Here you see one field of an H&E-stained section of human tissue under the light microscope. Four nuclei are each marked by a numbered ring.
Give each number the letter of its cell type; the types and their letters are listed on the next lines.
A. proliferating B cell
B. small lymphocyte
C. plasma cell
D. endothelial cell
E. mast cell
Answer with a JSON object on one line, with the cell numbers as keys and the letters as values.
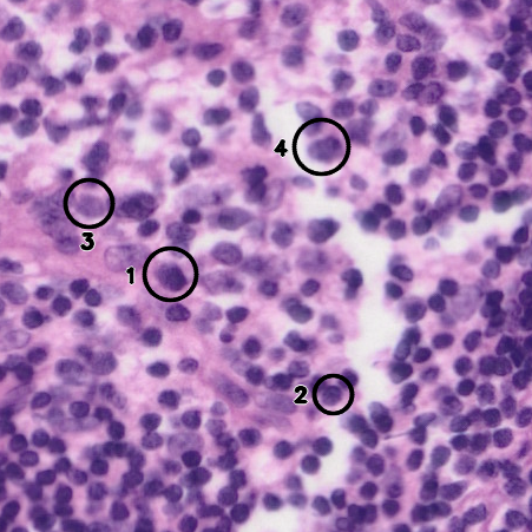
{"1": "A", "2": "B", "3": "A", "4": "A"}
